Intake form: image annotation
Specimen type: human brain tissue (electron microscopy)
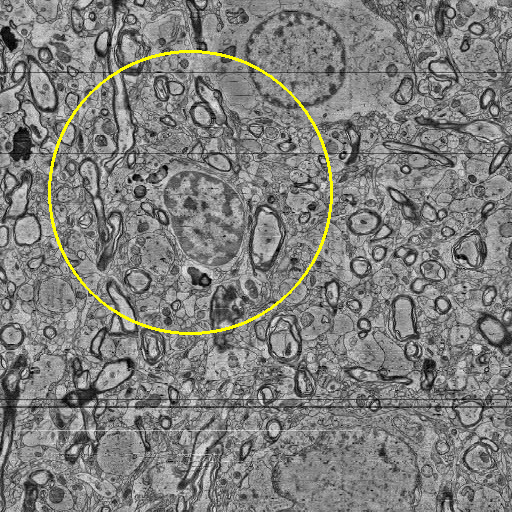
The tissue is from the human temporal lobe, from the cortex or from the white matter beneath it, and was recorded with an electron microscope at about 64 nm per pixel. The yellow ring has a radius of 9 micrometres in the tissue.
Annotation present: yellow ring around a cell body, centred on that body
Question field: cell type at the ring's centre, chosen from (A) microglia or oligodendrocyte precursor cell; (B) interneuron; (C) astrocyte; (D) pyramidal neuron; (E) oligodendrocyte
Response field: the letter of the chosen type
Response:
A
